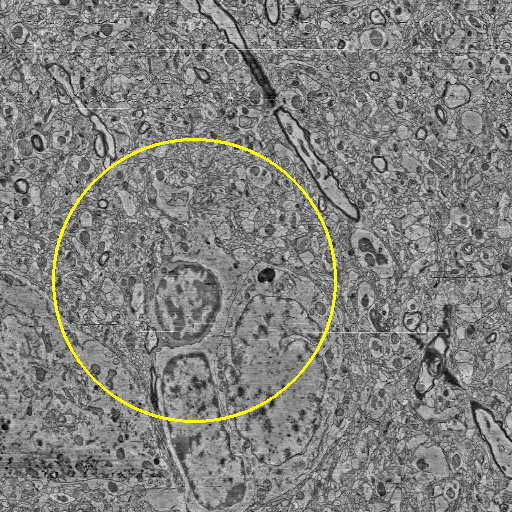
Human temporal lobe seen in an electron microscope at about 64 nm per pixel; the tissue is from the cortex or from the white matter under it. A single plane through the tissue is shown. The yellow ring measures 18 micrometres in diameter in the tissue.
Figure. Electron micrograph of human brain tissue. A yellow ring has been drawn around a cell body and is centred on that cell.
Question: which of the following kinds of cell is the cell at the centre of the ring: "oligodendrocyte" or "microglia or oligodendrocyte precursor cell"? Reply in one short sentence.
The cell at the centre of the ring is an oligodendrocyte.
